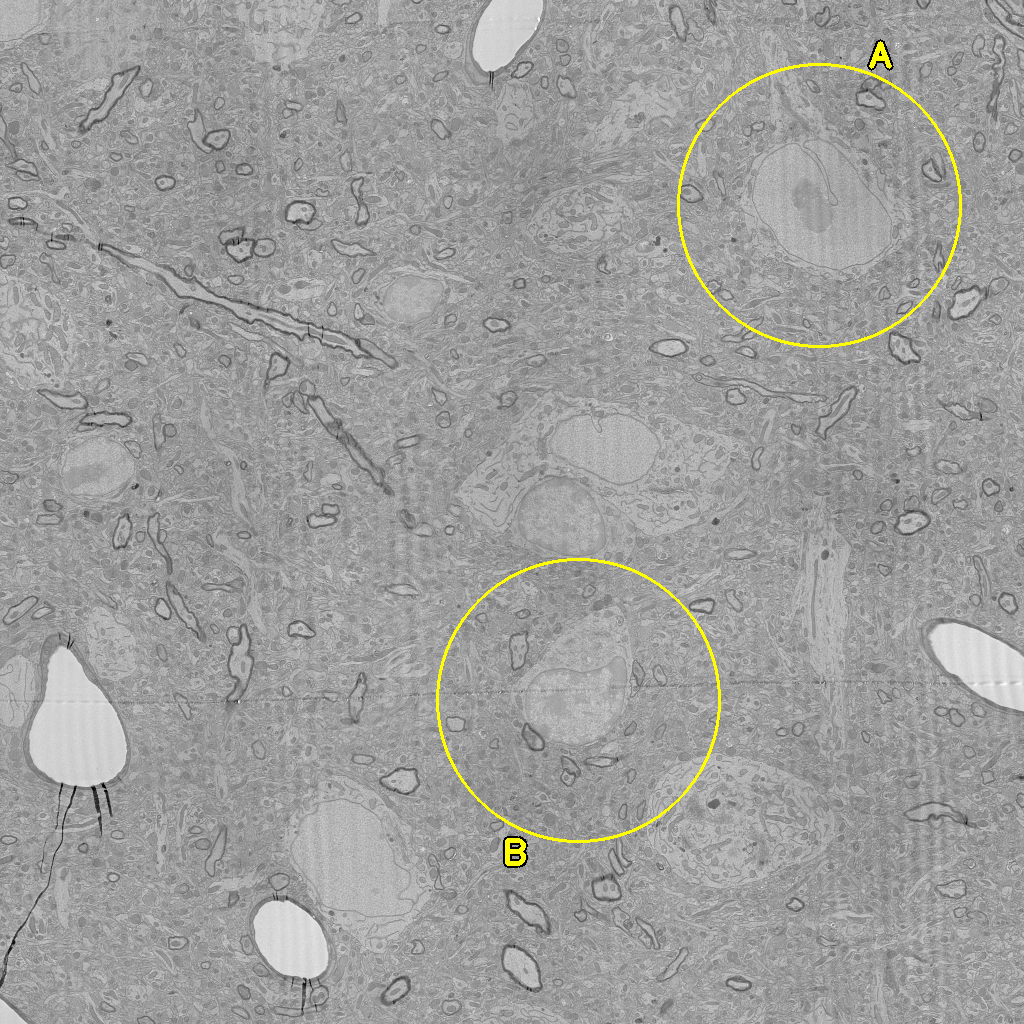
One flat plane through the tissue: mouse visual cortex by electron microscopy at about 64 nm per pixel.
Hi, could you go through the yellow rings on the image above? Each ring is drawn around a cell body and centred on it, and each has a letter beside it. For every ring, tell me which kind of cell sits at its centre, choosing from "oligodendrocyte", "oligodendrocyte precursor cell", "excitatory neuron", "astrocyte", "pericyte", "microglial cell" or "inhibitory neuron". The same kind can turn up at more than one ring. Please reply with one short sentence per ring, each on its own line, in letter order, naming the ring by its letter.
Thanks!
Ring A is centred on an excitatory neuron.
Ring B is centred on an oligodendrocyte.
